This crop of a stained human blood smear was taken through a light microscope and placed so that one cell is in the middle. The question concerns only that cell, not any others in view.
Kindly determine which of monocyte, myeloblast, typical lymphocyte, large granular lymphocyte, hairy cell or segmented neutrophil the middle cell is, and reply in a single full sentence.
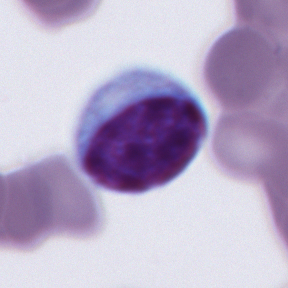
On this slide crop, the central cell is a typical lymphocyte.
